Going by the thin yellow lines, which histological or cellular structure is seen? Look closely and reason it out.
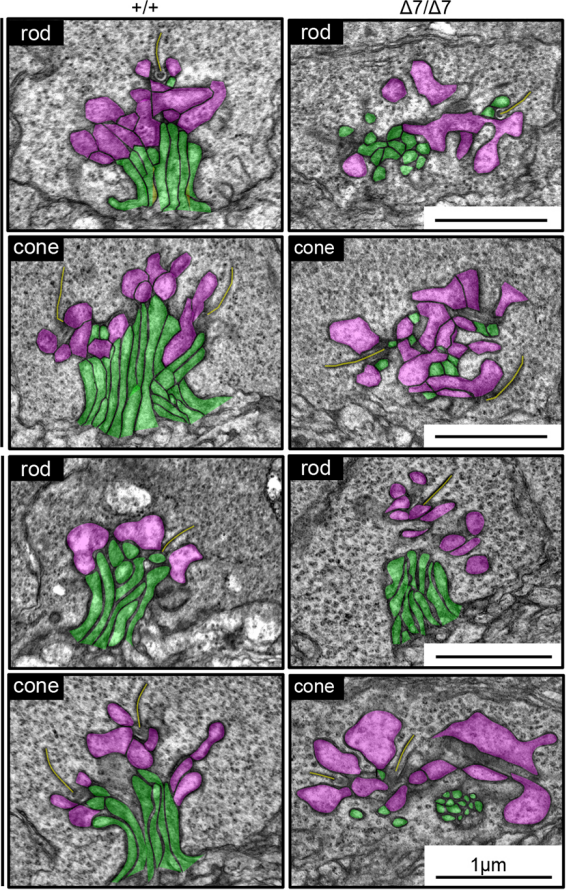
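Ribbon synapses. Thin dark linear structures traced in yellow inside the terminals.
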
